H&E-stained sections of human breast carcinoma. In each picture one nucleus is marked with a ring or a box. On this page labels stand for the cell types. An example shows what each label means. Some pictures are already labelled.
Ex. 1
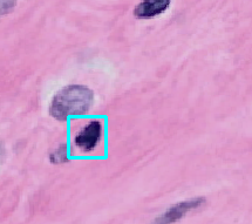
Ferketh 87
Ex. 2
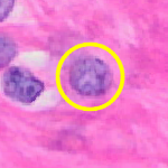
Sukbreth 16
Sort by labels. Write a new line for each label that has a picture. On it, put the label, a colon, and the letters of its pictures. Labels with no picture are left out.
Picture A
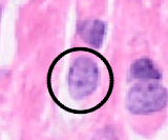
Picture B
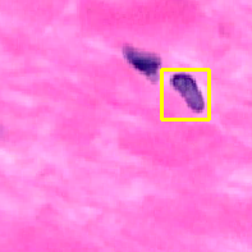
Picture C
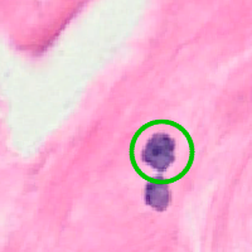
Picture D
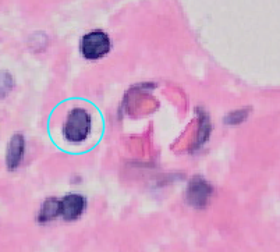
Ferketh 87: B, C, D
Sukbreth 16: A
